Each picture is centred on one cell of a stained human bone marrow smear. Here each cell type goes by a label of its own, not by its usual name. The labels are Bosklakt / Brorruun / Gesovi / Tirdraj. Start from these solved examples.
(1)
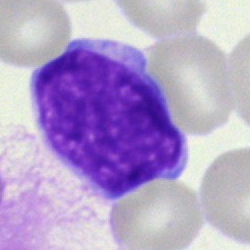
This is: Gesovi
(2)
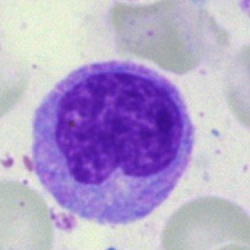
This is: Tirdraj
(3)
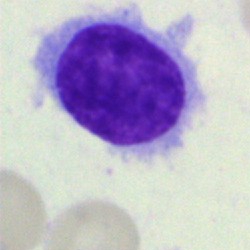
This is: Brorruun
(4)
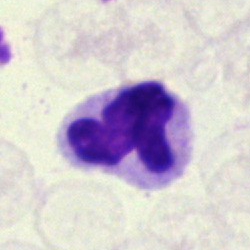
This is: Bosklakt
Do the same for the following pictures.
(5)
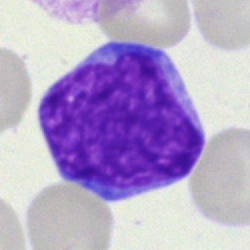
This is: Gesovi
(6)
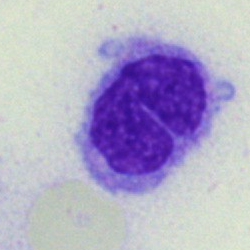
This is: Tirdraj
